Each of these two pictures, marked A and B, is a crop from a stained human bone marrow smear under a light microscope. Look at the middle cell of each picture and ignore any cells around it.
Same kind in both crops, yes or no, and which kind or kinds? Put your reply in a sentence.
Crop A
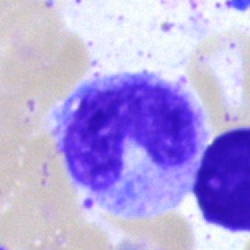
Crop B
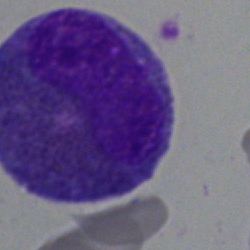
No, the cell in crop A is a band neutrophil and the one in crop B is an eosinophil.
